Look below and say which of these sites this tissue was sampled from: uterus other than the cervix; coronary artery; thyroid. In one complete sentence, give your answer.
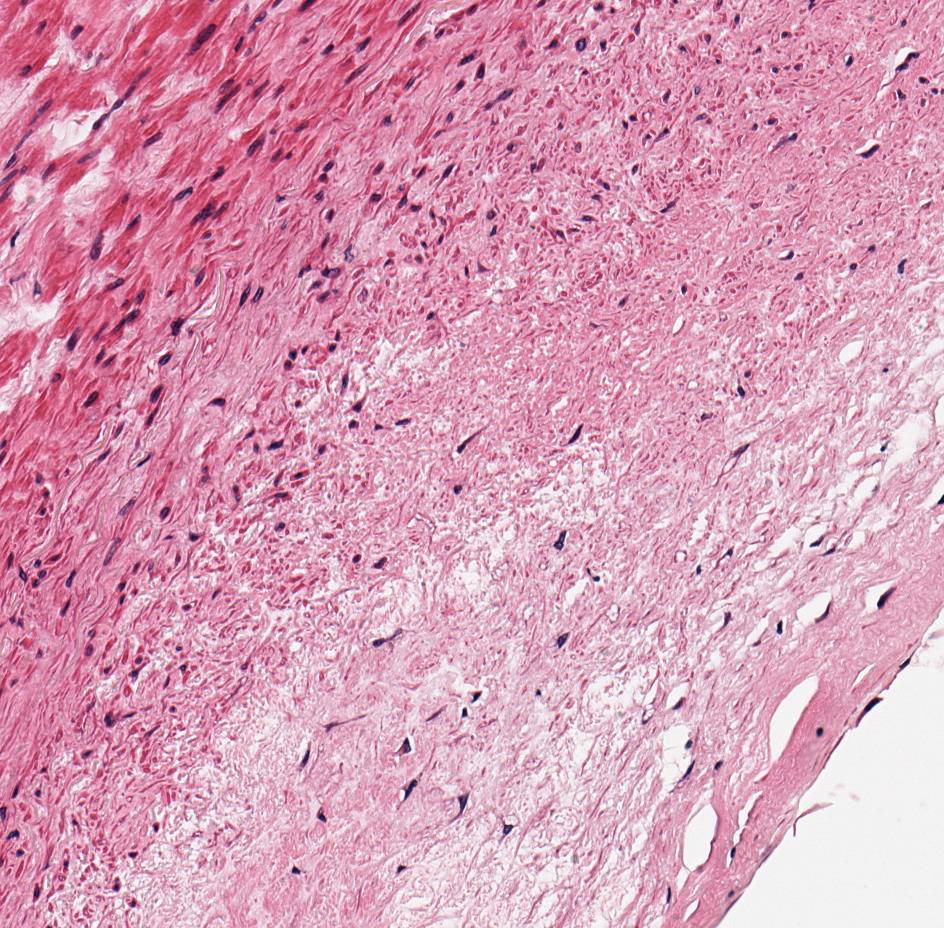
This section was cut from tissue of the coronary artery.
